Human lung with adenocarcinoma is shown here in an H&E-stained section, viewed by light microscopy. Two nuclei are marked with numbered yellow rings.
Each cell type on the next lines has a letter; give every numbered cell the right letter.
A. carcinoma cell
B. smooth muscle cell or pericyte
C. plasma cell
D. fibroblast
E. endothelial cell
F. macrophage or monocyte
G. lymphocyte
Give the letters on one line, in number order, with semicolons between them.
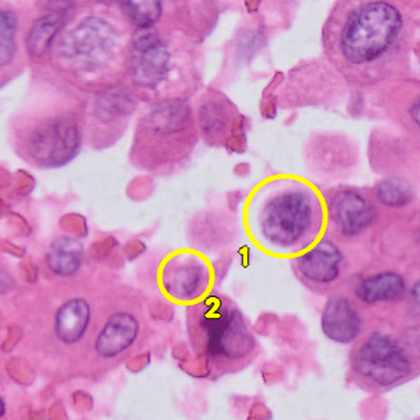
A; F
